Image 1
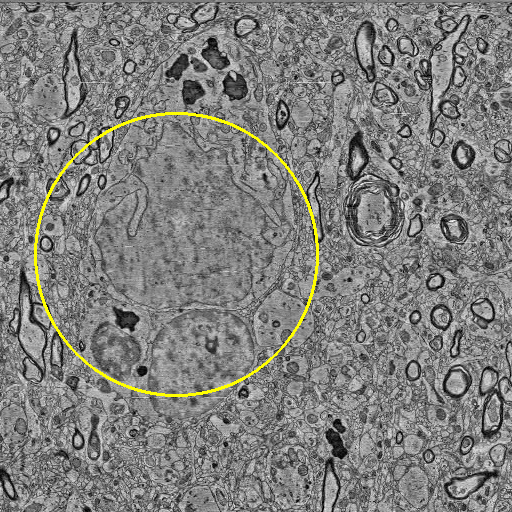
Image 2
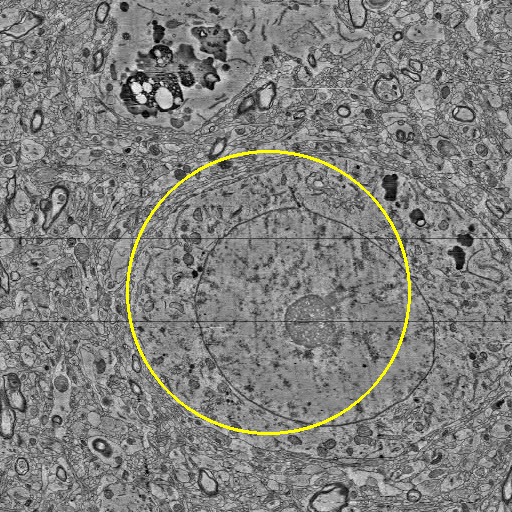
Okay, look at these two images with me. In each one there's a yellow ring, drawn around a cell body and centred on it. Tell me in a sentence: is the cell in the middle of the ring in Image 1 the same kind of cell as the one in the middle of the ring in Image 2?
No, they're two kinds of cell.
